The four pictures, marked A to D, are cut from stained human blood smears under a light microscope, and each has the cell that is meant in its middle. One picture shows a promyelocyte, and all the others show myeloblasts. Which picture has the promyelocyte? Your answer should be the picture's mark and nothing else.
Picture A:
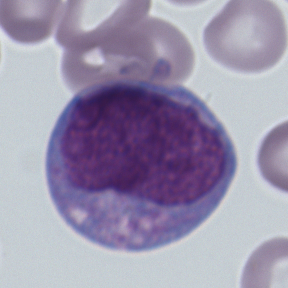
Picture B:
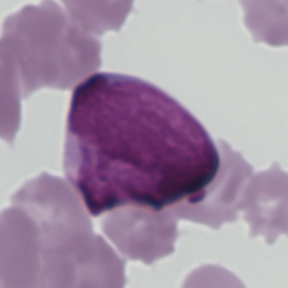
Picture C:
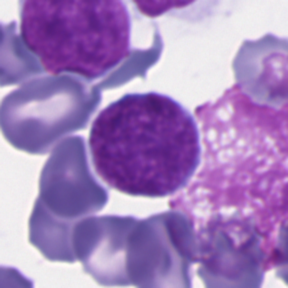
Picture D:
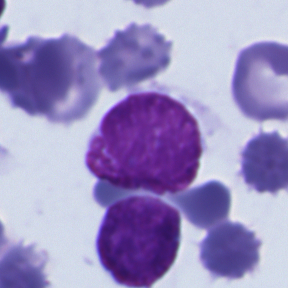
A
